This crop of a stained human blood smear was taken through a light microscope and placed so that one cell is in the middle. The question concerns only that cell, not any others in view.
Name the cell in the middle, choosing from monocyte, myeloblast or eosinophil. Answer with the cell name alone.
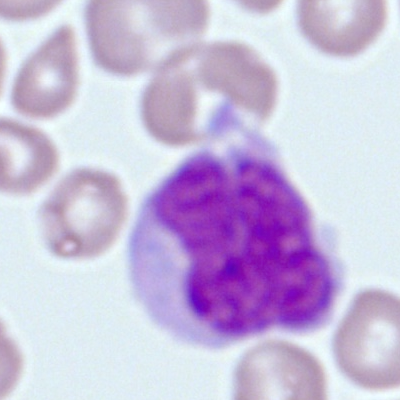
monocyte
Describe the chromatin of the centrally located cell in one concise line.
Answer: the chromatin in this nucleus is coarsely clumped.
